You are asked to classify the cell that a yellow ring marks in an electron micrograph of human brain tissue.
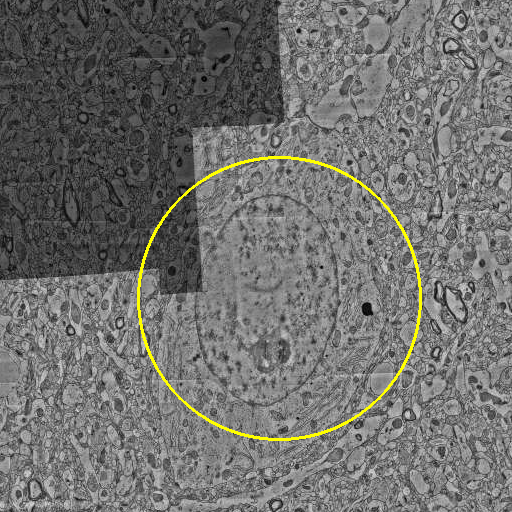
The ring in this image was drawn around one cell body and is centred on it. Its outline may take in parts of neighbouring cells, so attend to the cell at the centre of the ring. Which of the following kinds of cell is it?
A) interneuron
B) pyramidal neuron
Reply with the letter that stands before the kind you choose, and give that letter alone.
A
